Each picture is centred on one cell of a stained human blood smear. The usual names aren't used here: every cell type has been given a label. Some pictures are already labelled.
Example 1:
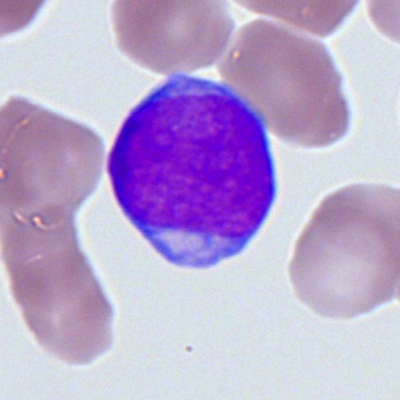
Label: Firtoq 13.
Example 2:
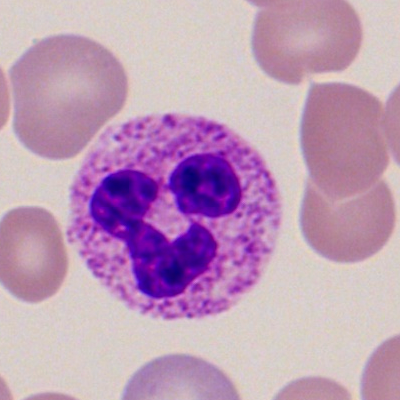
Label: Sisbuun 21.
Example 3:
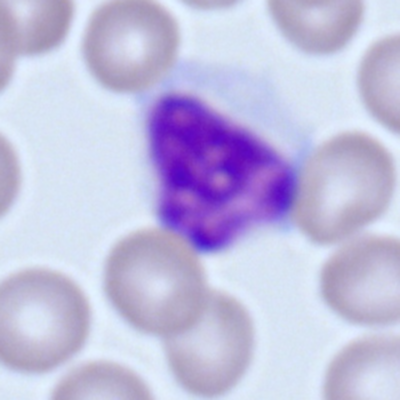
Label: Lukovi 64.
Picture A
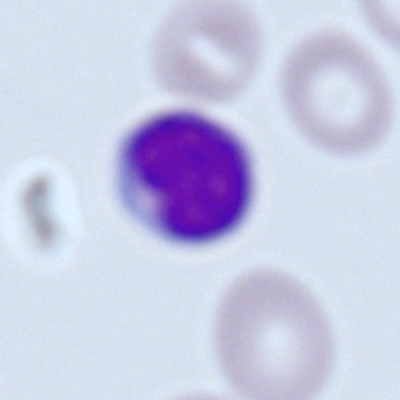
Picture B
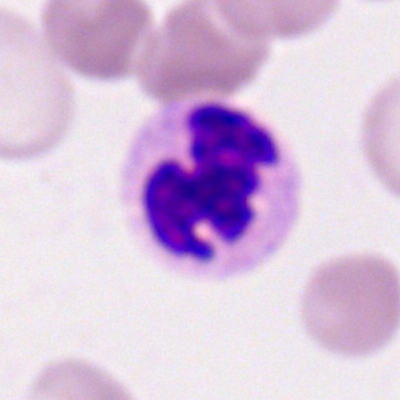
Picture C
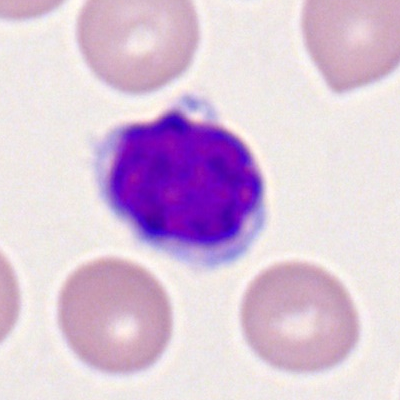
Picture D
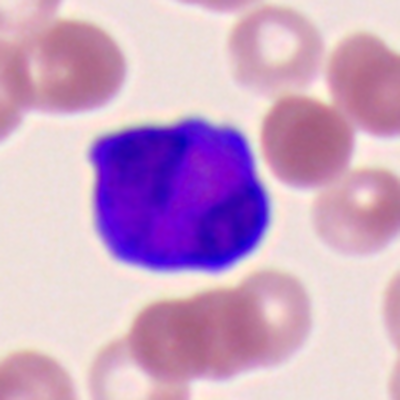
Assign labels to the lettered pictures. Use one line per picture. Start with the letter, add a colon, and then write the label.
A: Lukovi 64.
B: Sisbuun 21.
C: Lukovi 64.
D: Firtoq 13.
